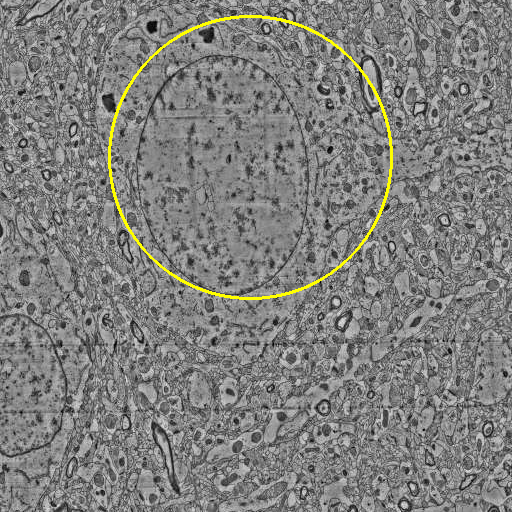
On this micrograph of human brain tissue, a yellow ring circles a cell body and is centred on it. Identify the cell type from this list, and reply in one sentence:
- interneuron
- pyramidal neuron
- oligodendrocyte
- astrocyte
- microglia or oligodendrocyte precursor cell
The cell at the centre is a pyramidal neuron.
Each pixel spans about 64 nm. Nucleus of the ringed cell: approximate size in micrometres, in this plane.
Approximately 15 x 11 micrometres in this plane.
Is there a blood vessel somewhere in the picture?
No.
